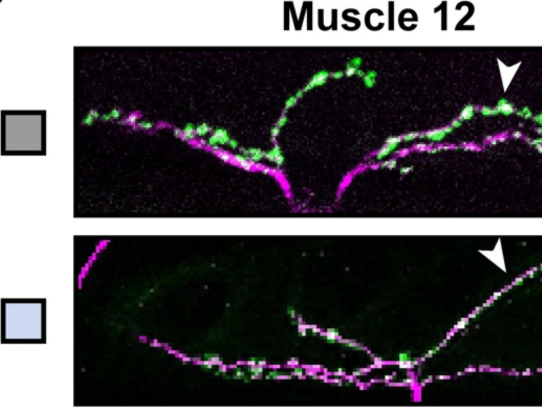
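These are motor nerve terminals on a larval body-wall muscle, seen as magenta branching fibres with green synaptic boutons. Thicker magenta trunks enter the field and divide into thinner branches that run along the muscle. The terminal branches are beaded, and green puncta cluster on the swellings along them.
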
